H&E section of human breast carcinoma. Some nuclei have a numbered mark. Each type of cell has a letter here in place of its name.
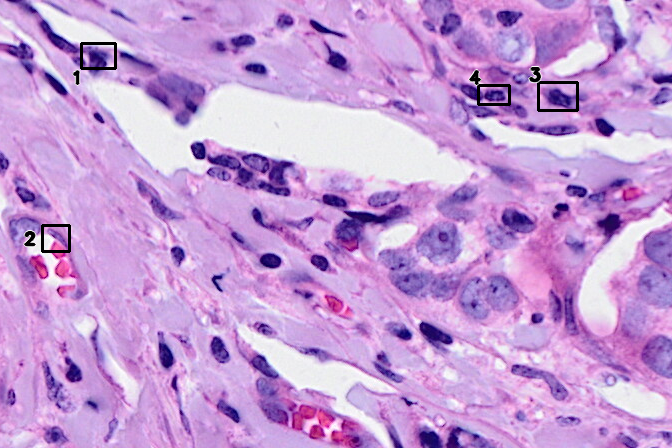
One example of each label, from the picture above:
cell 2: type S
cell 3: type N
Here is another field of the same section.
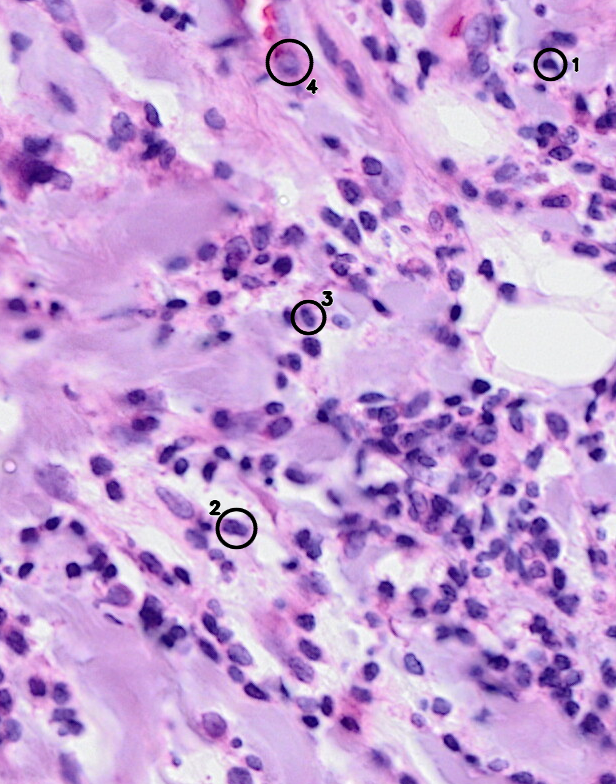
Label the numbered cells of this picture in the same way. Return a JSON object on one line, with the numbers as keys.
{"1": "type N", "2": "type N", "3": "type N", "4": "type S"}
